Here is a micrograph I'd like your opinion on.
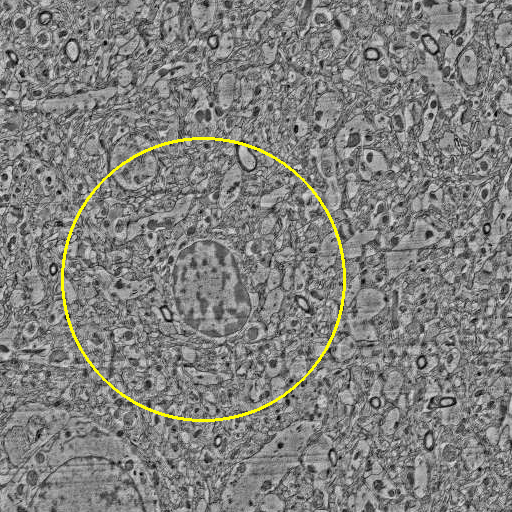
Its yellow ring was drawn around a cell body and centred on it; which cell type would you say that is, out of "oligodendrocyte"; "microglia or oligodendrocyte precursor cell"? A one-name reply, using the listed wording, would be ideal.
microglia or oligodendrocyte precursor cell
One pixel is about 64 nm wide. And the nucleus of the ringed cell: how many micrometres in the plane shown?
The ringed cell's nucleus is about 6 micrometres long and 5 micrometres wide in this plane.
